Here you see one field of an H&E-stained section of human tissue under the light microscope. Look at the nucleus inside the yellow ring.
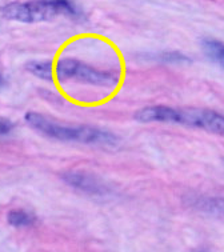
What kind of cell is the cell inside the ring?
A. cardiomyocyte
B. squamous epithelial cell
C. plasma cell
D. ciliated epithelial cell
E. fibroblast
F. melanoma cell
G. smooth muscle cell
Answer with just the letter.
G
